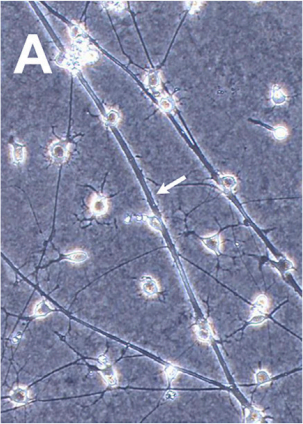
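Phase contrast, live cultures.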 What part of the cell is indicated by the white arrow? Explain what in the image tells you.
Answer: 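Thin processes run along a thick fibre bundle crossing the field. The arrow points at the bundle next to a small cell.
Answer: cytoplasmic extensions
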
